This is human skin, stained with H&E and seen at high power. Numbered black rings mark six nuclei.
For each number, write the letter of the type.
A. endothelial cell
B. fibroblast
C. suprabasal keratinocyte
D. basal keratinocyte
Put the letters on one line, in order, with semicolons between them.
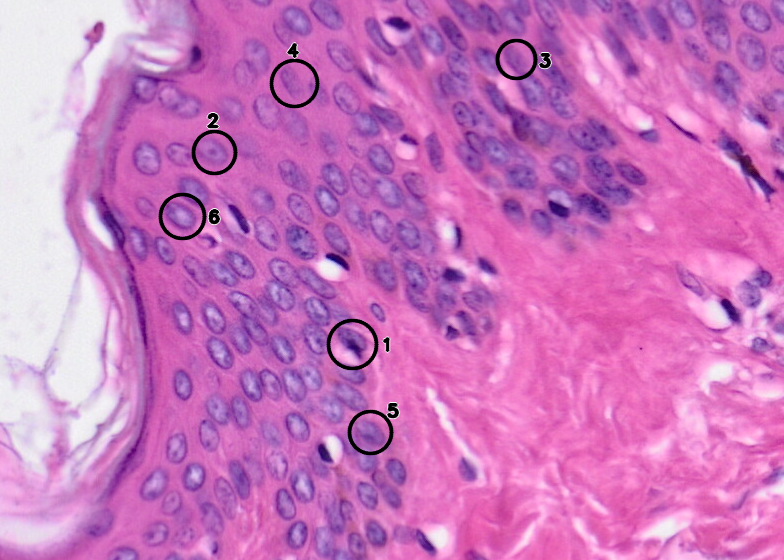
D; C; D; C; D; C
